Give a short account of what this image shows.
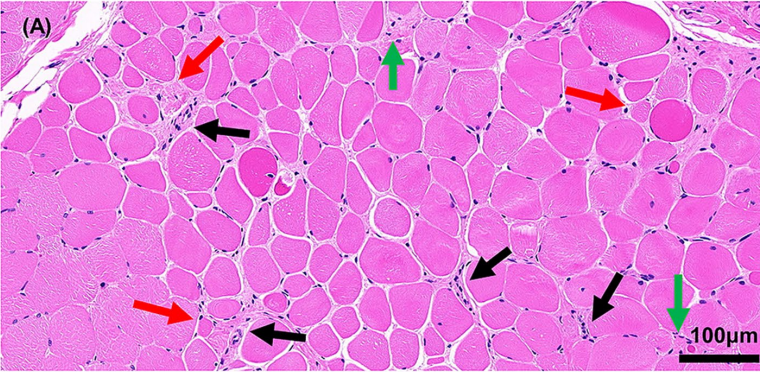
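This is skeletal muscle in cross-section, with pink polygonal muscle fibers of clearly varying size, including small rounded or angular atrophic fibers scattered among larger ones. The spaces between fibers are widened in places by pale connective tissue holding elongated nuclei, and dark nuclei cluster at some fiber edges.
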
